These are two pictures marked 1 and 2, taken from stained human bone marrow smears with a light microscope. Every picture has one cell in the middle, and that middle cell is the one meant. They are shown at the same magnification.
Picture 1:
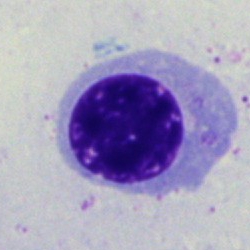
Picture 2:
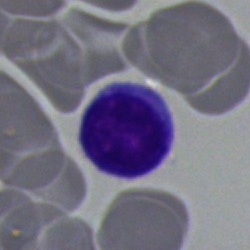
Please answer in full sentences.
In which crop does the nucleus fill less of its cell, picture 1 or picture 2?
Of the two, the nucleus in picture 1 leaves more room for cytoplasm.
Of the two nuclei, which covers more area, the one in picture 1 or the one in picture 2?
The nucleus in picture 1 is larger, with about 1.5 times the area of the one in picture 2.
